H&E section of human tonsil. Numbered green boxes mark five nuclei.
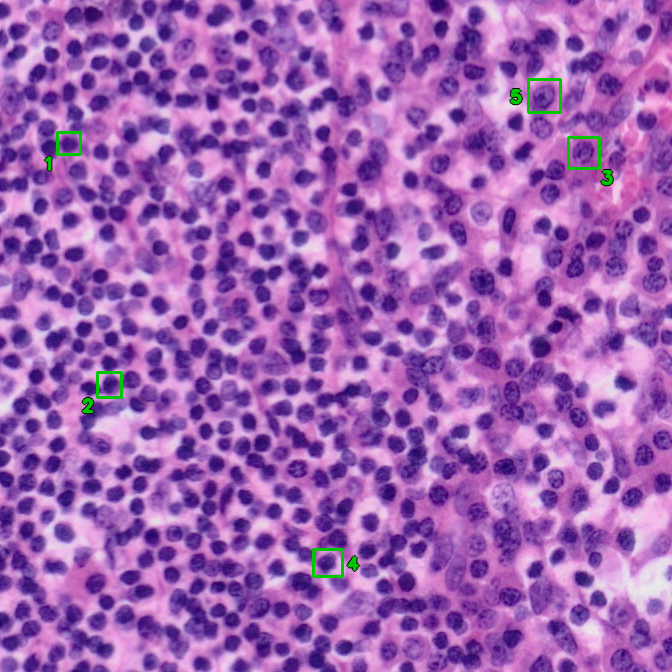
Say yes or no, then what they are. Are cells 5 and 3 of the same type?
Yes, the cell marked 5 and the cell marked 3 are both plasma cells.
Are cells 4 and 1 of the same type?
Yes, cell 4 is one of the small lymphocytes, and so is cell 1.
